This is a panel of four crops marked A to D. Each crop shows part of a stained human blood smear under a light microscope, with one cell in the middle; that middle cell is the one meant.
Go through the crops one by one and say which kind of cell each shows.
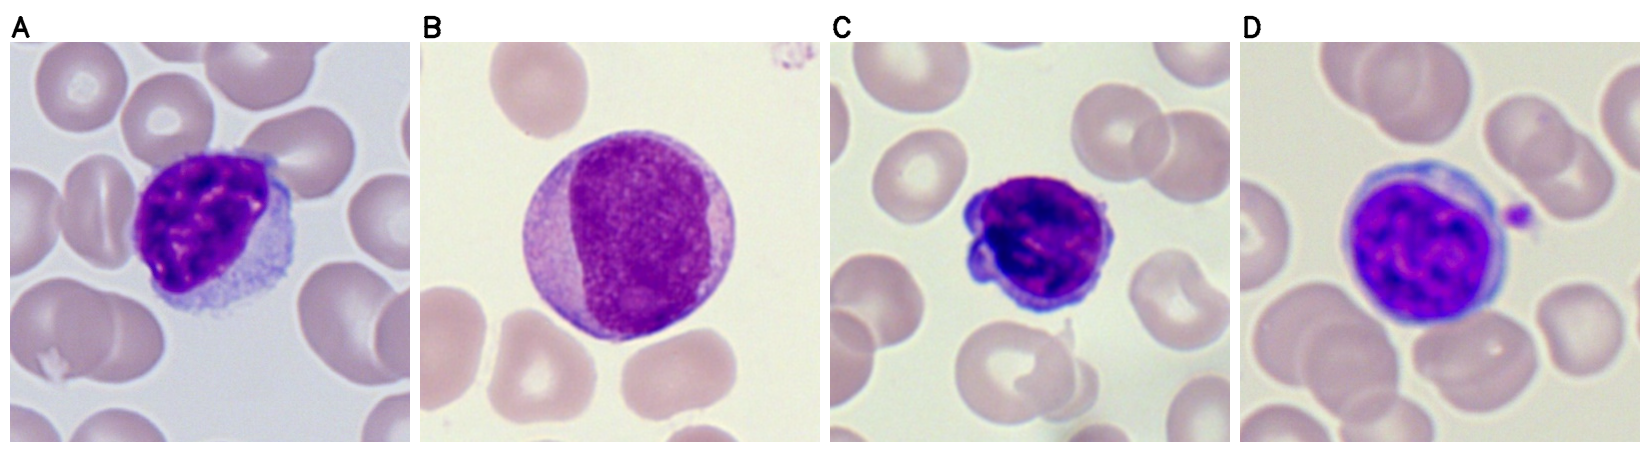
A: lymphocyte
B: myeloblast
C: lymphocyte
D: lymphocyte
